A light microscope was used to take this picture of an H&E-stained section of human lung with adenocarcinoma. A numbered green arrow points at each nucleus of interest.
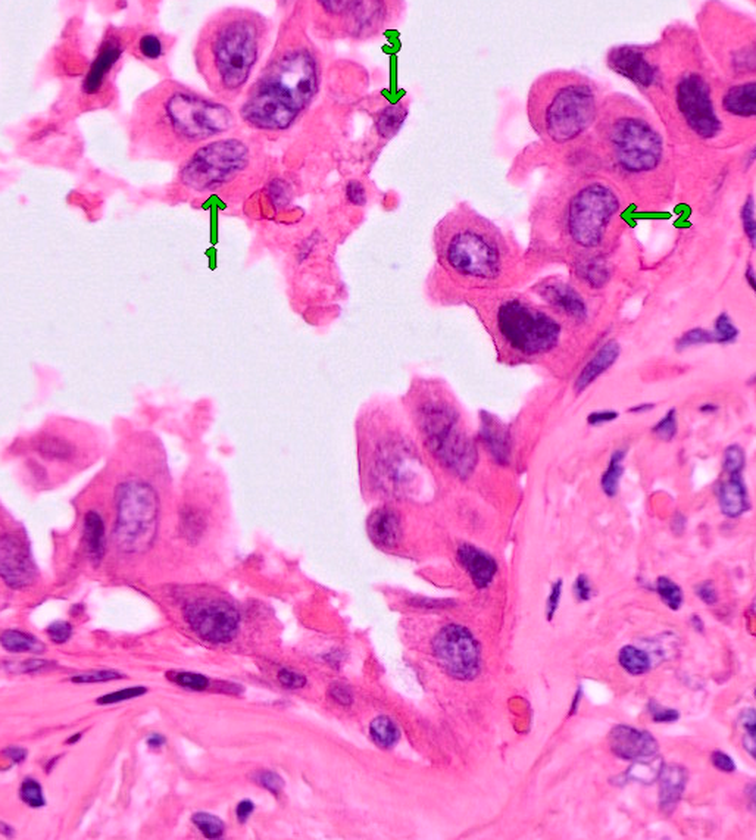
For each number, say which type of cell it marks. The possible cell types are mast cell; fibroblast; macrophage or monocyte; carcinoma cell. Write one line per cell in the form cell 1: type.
cell 1: carcinoma cell
cell 2: carcinoma cell
cell 3: macrophage or monocyte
